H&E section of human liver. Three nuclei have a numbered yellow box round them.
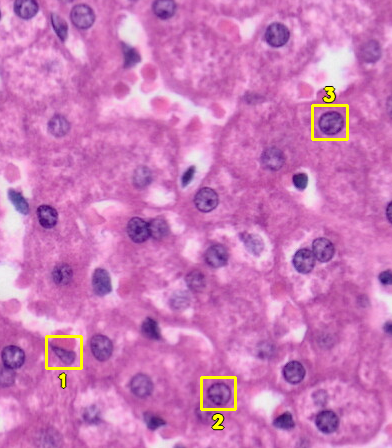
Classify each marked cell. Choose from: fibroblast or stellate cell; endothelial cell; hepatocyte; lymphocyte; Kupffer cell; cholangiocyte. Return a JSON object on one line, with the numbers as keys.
{"1": "endothelial cell", "2": "hepatocyte", "3": "hepatocyte"}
